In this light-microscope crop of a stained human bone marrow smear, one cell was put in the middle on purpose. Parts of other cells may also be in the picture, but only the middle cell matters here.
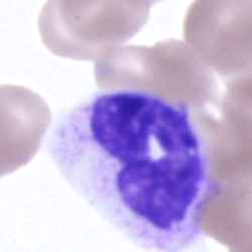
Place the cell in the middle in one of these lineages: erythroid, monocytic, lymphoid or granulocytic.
granulocytic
